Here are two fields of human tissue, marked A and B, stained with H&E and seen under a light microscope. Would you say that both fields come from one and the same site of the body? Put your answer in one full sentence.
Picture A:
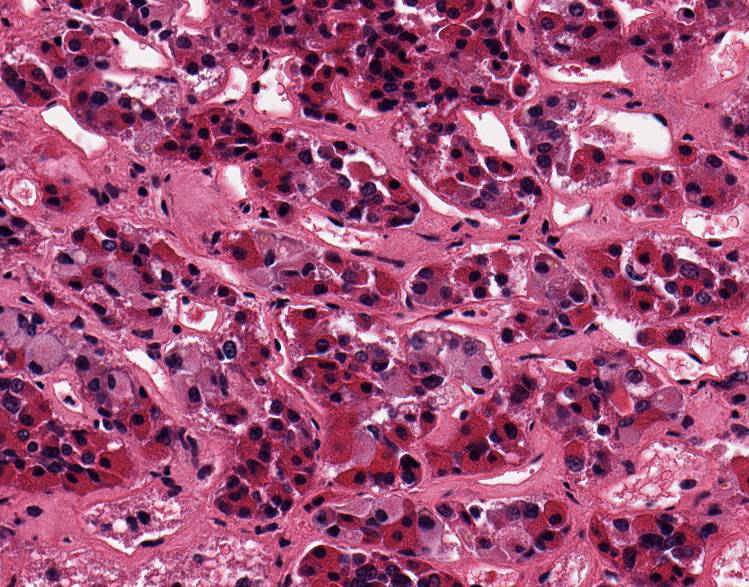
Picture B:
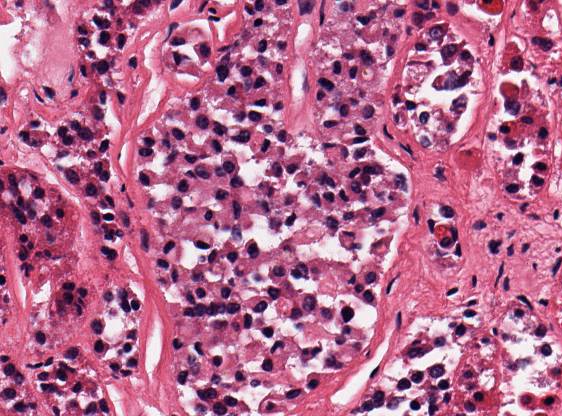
Yes; both pictures come from the pituitary.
